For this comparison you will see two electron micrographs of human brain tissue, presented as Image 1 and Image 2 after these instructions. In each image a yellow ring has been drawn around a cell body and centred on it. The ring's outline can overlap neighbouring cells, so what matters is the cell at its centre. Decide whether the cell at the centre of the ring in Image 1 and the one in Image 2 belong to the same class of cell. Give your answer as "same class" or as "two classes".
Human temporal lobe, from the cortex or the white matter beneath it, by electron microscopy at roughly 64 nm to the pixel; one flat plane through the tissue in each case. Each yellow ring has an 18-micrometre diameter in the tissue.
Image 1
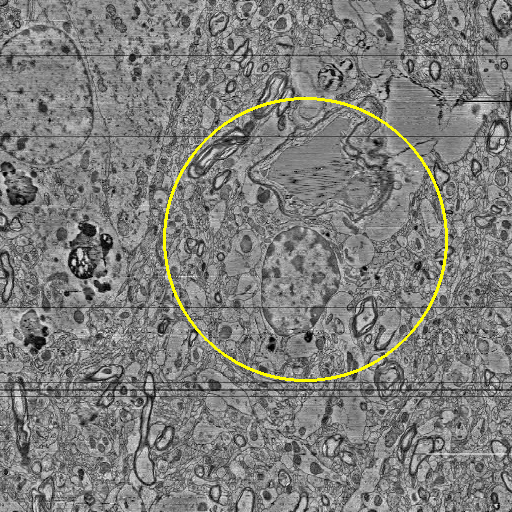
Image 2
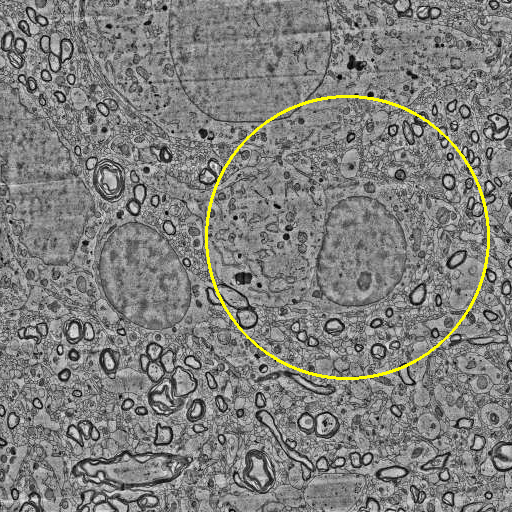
two classes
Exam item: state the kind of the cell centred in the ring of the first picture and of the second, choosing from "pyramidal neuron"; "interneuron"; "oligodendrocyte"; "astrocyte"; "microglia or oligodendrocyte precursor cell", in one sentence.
The first picture shows a microglial cell or oligodendrocyte precursor cell at the ring centre and the second shows an oligodendrocyte.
